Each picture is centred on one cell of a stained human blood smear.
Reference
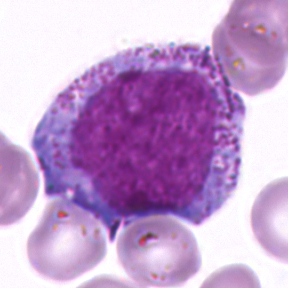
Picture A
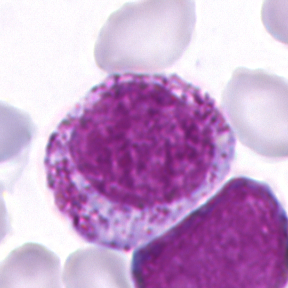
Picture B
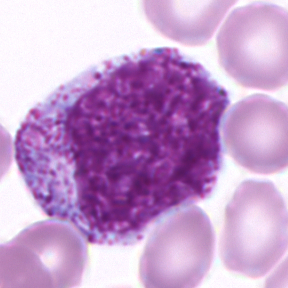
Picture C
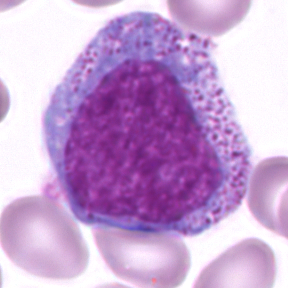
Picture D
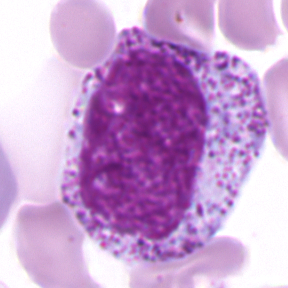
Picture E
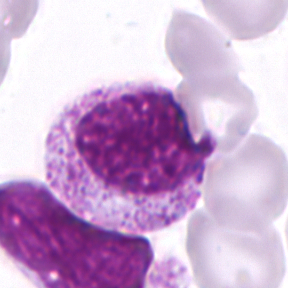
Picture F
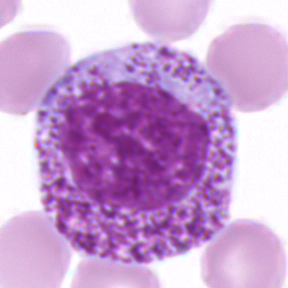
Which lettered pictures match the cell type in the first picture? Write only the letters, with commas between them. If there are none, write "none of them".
C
